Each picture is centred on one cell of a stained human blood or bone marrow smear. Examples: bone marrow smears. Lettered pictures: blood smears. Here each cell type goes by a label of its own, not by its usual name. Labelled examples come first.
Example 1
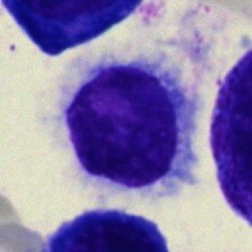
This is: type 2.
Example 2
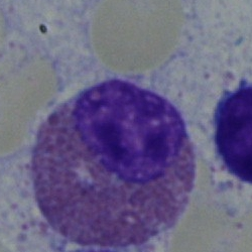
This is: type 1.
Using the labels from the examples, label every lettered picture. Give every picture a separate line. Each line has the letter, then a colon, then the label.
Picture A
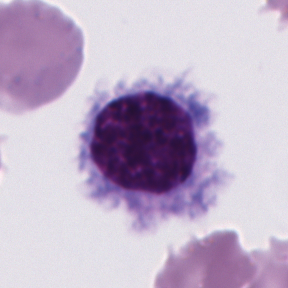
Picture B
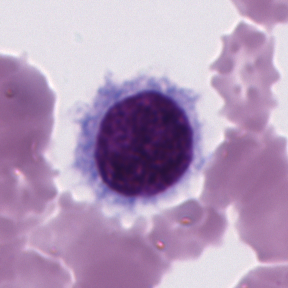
A: type 2.
B: type 2.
